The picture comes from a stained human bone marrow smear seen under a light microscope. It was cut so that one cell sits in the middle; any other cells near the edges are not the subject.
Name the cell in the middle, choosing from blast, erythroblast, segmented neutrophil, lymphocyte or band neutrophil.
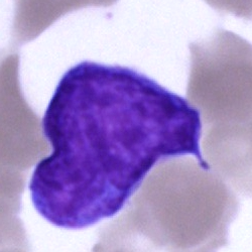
blast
